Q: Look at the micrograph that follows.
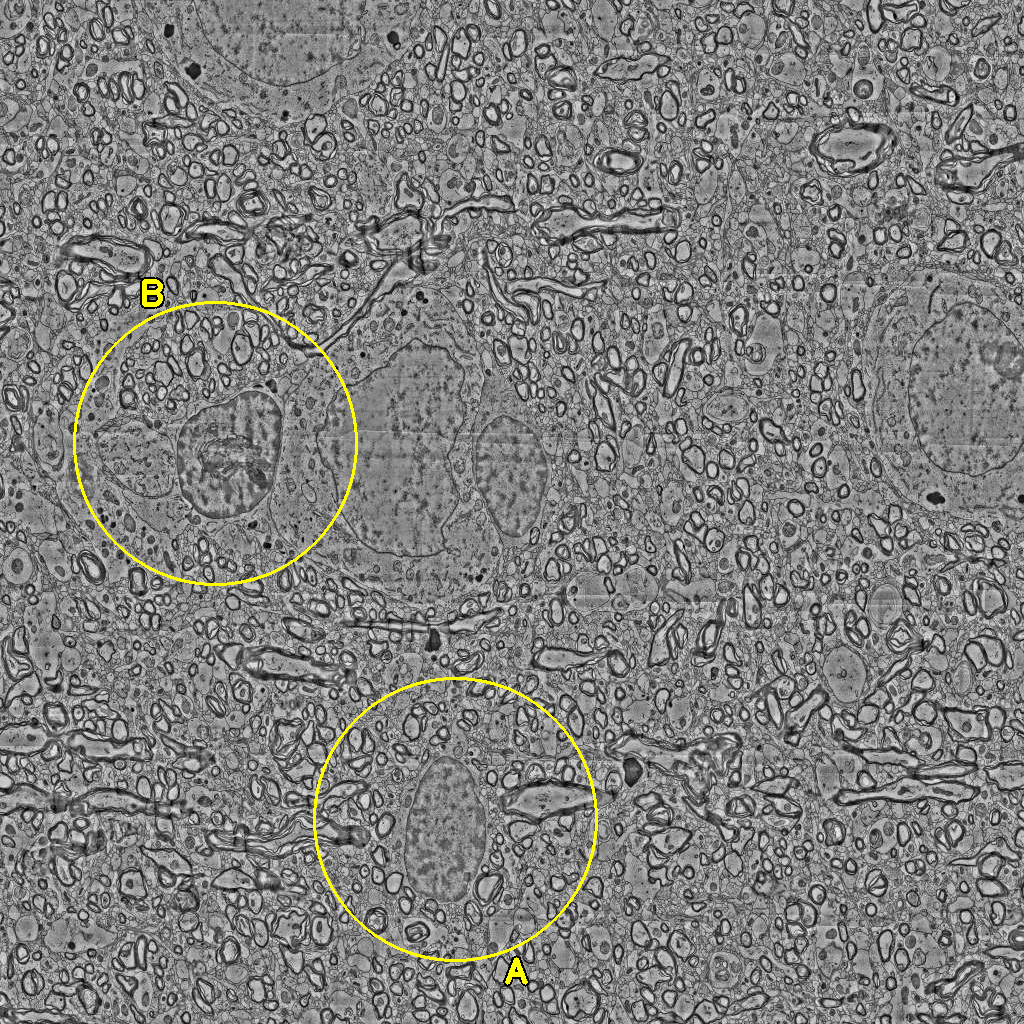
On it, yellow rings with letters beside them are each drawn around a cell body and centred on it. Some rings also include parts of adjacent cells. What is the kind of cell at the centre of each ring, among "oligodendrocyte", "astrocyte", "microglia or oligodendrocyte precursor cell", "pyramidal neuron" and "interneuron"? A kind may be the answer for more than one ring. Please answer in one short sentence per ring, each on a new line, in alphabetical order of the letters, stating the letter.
Ring A surrounds the cell body of an oligodendrocyte.
Ring B surrounds the cell body of a microglial cell or oligodendrocyte precursor cell.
